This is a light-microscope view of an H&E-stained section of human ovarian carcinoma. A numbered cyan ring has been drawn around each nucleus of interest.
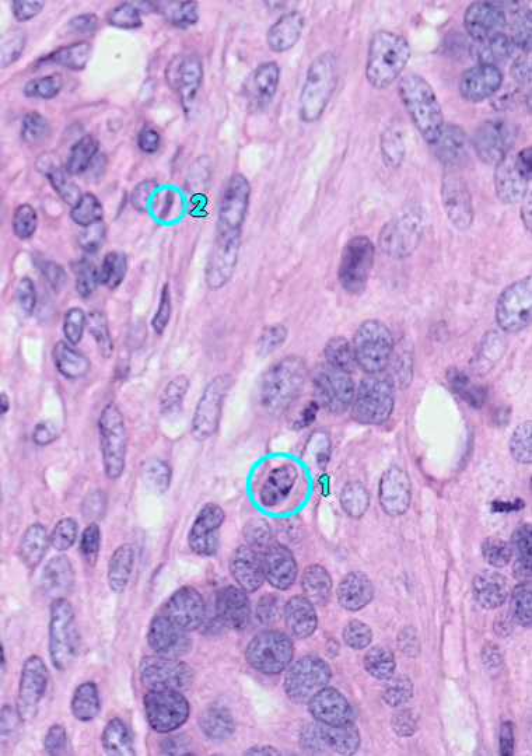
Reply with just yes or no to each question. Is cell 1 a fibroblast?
no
